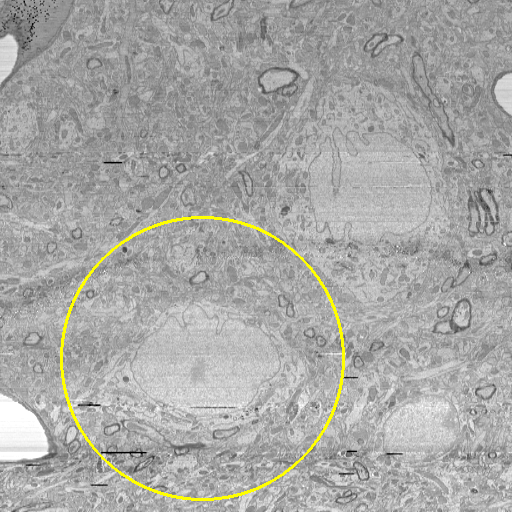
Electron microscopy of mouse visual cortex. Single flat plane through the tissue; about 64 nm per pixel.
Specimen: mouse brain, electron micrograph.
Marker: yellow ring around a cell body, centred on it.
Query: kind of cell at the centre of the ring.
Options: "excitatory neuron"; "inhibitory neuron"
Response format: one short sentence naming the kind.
This cell body belongs to an inhibitory neuron.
